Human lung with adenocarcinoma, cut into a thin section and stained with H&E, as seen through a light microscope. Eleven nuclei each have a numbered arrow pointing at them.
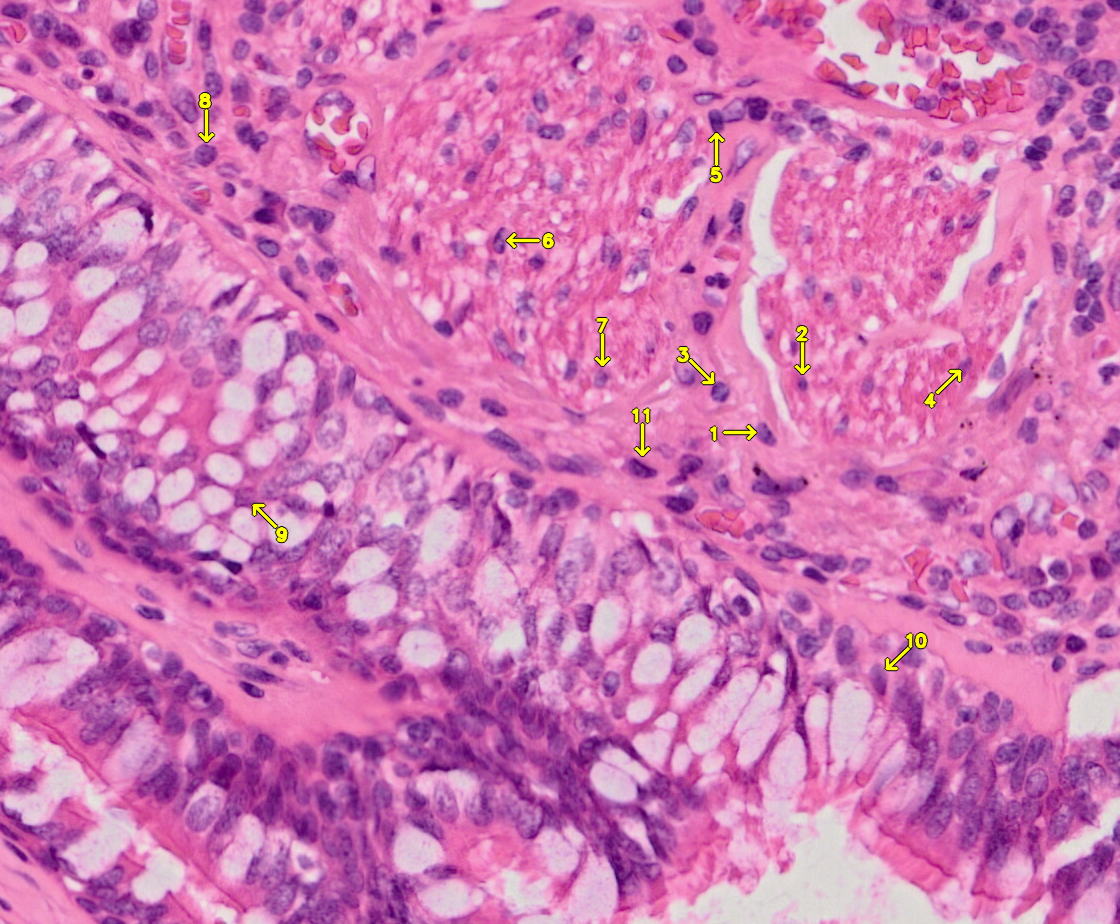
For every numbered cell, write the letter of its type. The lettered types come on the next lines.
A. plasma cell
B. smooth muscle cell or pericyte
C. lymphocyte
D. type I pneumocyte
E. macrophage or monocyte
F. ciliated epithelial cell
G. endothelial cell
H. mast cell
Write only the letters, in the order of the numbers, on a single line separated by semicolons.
H; B; H; B; C; H; B; C; F; F; A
